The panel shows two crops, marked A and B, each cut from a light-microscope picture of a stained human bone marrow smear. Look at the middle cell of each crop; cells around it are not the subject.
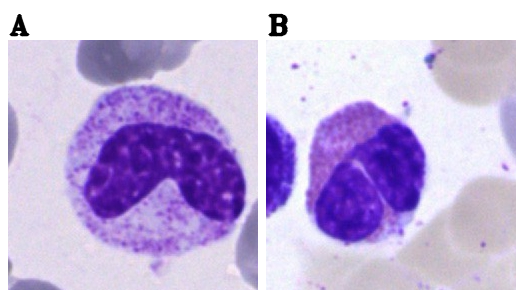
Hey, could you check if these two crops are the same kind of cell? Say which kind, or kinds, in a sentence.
No, crop A is the one with a band neutrophil; crop B has an eosinophil.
